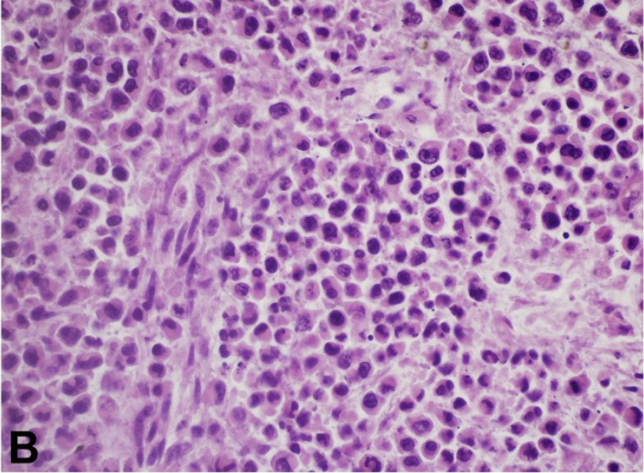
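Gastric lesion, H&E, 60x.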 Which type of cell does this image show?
Atypical non-cohesive, round/rhabdoid cells.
